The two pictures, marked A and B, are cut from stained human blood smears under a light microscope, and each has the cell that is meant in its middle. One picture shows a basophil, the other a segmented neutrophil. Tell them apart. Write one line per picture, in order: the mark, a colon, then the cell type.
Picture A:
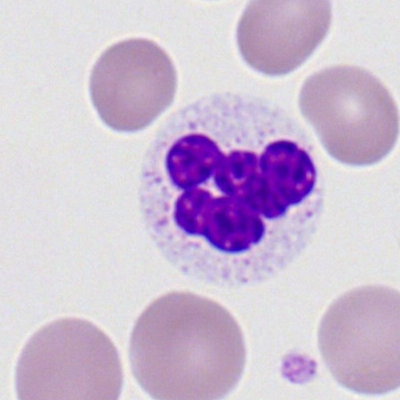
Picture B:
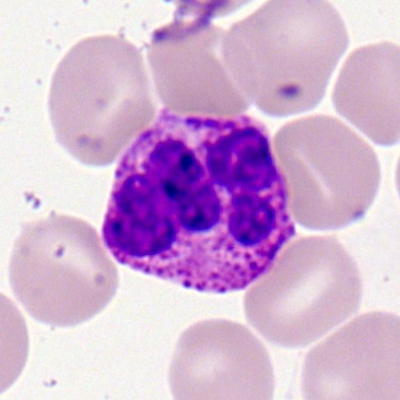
A: segmented neutrophil
B: basophil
